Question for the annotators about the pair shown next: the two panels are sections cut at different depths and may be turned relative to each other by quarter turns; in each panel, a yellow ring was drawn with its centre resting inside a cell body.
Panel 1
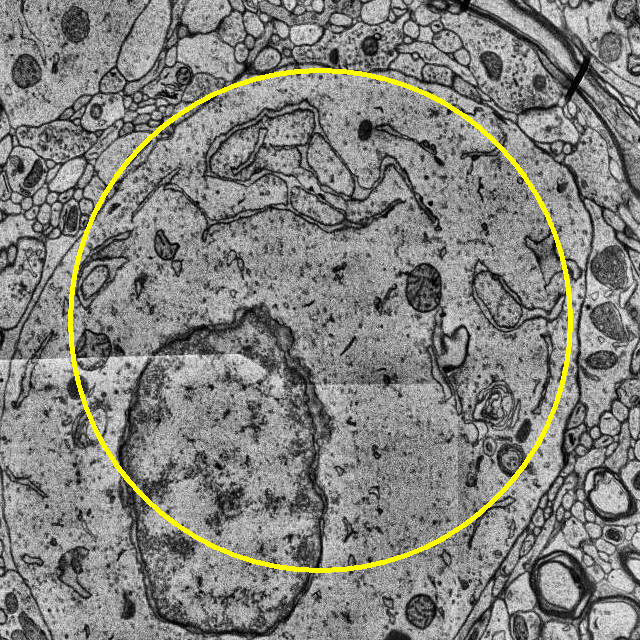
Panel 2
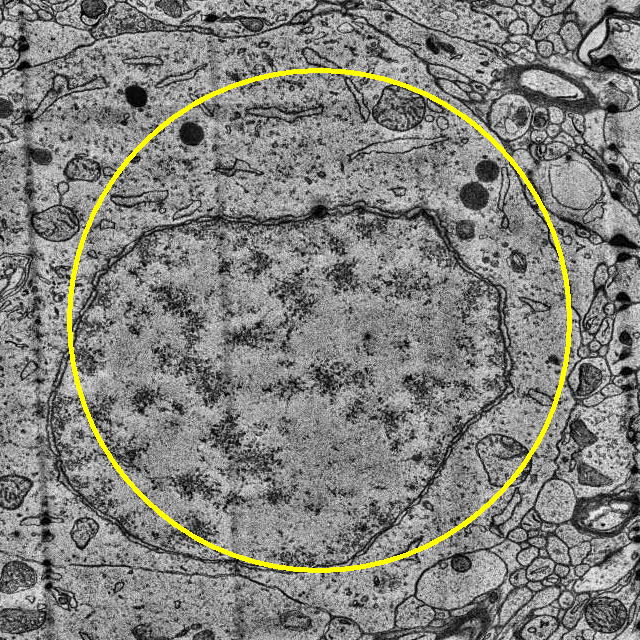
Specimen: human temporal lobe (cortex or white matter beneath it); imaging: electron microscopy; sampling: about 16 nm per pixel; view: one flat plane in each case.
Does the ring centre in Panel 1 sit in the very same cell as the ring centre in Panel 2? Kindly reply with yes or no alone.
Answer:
no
